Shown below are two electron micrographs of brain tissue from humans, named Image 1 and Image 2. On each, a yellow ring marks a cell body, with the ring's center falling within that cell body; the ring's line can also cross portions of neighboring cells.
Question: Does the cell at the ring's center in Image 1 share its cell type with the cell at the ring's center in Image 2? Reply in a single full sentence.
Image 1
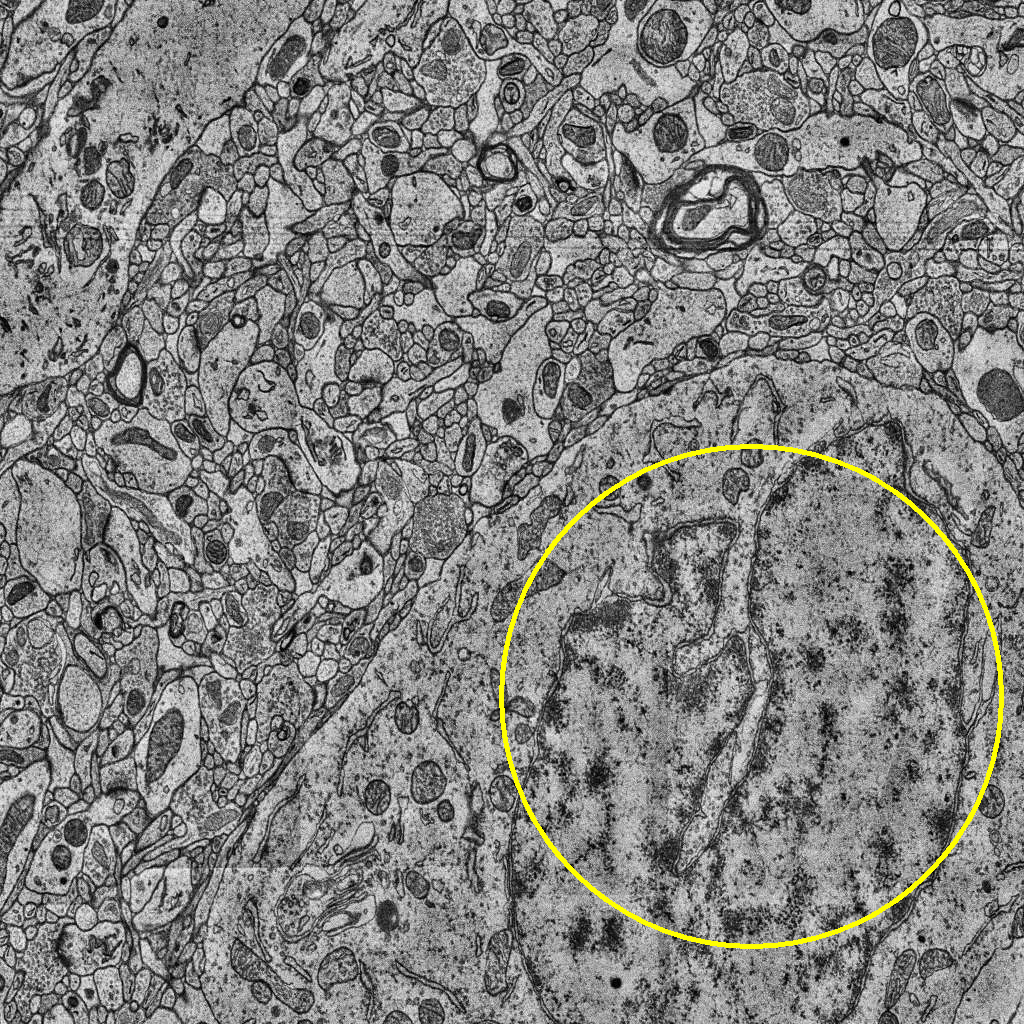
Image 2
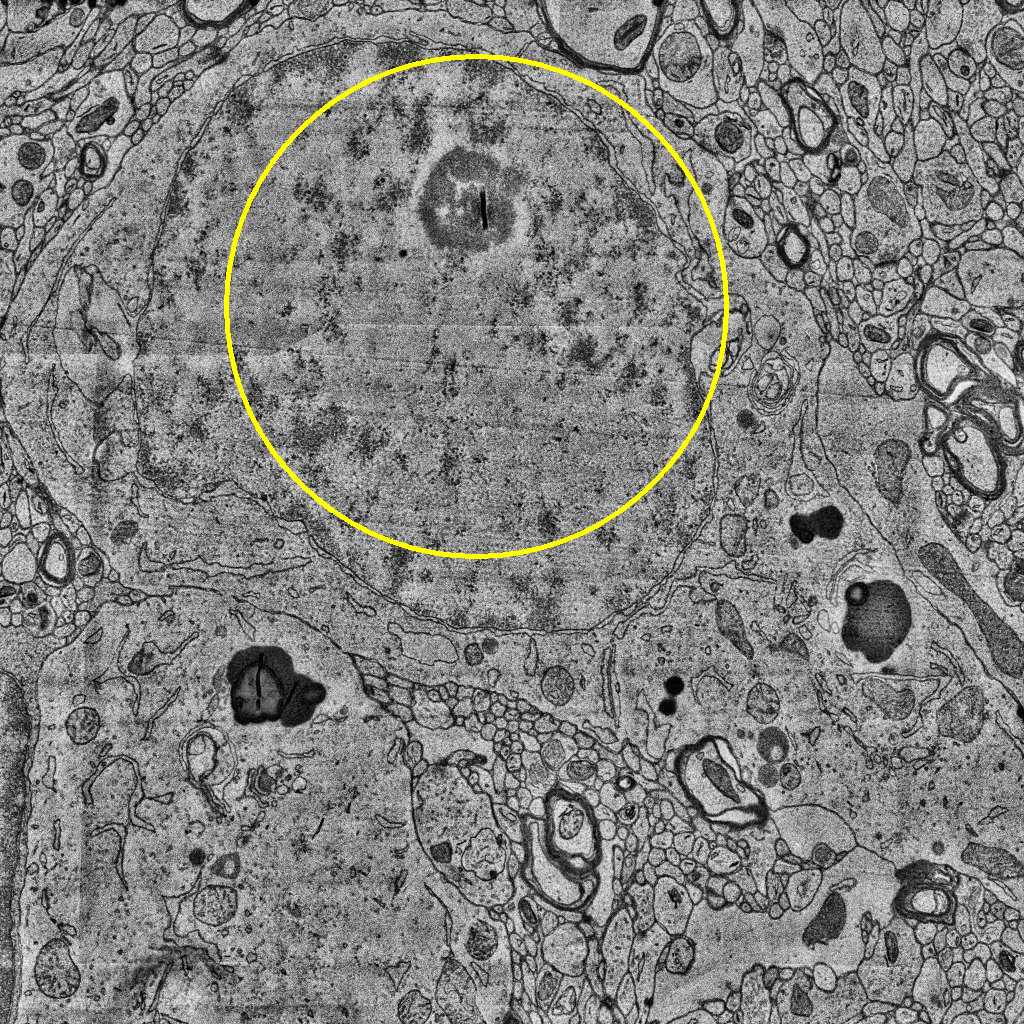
Yes, the two cells at the ring centers, in Image 1 and Image 2, share one cell type.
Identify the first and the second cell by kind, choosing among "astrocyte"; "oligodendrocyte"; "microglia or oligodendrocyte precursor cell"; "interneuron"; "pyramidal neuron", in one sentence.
Each cell at the centre of a ring is an interneuron.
